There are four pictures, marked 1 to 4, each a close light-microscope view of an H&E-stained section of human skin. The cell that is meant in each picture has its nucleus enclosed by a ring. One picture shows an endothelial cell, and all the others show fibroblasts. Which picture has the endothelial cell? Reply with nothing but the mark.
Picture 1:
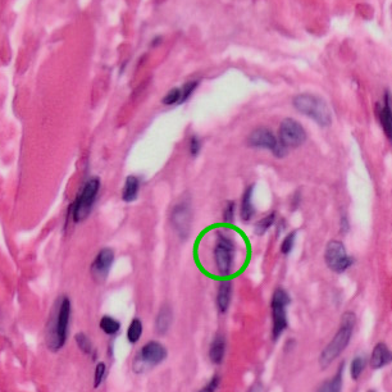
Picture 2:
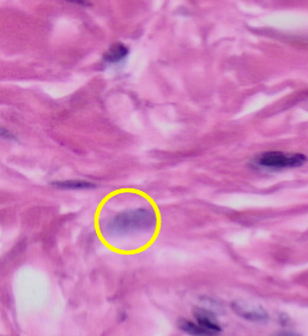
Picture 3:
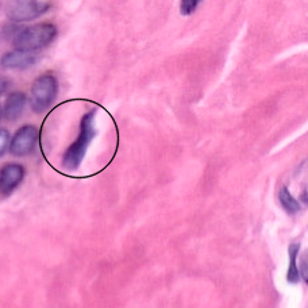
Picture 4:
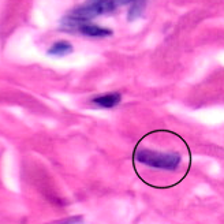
1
